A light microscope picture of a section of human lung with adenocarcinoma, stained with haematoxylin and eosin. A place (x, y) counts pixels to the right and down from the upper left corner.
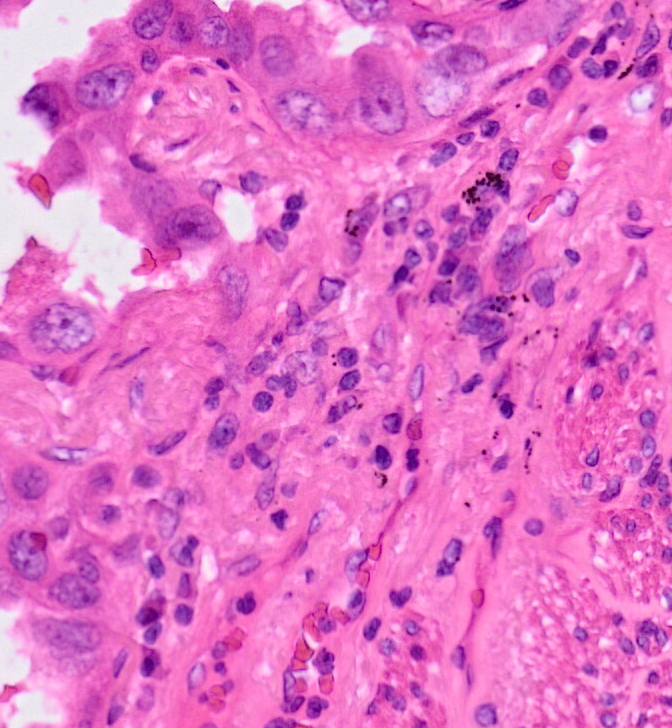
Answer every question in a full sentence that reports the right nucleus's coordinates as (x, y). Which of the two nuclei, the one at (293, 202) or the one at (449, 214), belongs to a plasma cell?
The nucleus that belongs to a plasma cell is located at (449, 214).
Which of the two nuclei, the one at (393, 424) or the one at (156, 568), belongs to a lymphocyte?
It is the nucleus at (156, 568) that belongs to a lymphocyte.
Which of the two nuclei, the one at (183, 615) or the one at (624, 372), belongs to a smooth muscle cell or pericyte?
Of the two, the nucleus lying at (624, 372) is the one belonging to a smooth muscle cell or pericyte.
